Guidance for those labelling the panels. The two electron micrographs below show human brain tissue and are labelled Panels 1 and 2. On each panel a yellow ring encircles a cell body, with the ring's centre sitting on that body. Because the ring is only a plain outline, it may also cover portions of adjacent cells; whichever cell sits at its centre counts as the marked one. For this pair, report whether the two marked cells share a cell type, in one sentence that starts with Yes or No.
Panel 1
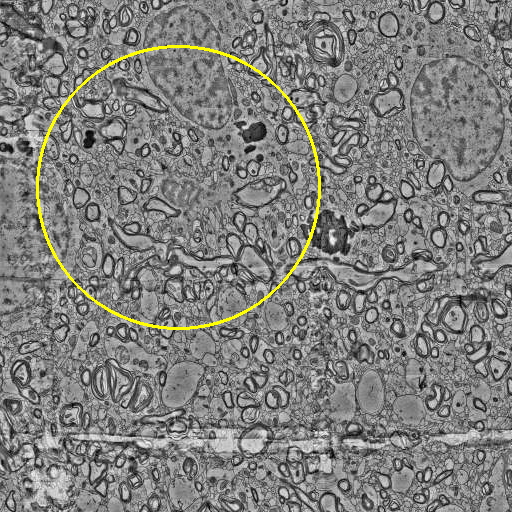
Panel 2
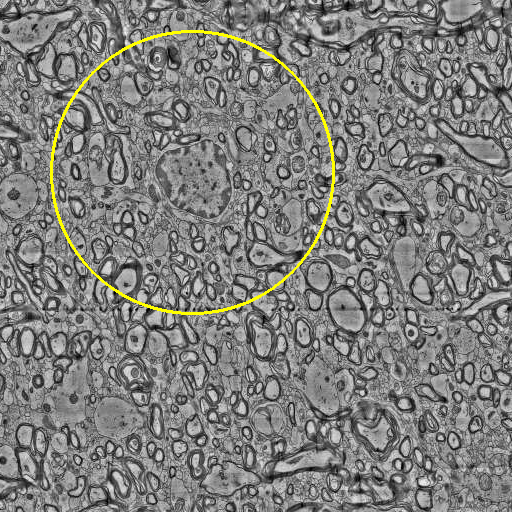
No, in Panel 1 and Panel 2 the marked cells at the ring centres are of two types.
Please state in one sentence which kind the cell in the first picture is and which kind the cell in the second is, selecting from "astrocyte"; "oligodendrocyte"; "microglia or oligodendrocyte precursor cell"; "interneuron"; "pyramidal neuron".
The first ringed cell is an oligodendrocyte, the second ringed cell a microglial cell or oligodendrocyte precursor cell.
